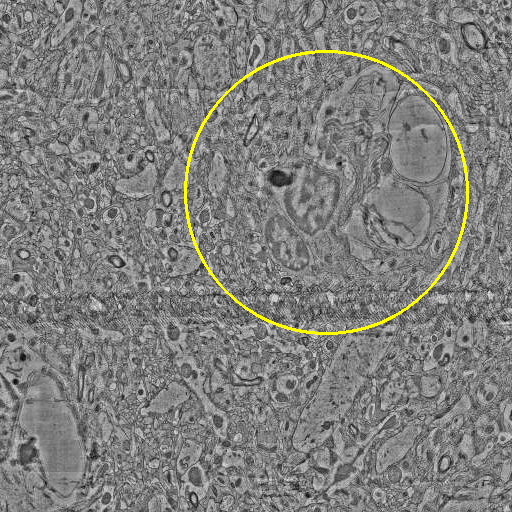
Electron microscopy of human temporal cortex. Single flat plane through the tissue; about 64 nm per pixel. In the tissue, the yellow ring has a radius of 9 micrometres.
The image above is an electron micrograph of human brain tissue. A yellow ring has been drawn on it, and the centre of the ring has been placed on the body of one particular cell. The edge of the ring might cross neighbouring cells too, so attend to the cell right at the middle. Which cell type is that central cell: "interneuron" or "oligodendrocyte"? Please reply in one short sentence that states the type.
The central cell in the ring is an oligodendrocyte.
